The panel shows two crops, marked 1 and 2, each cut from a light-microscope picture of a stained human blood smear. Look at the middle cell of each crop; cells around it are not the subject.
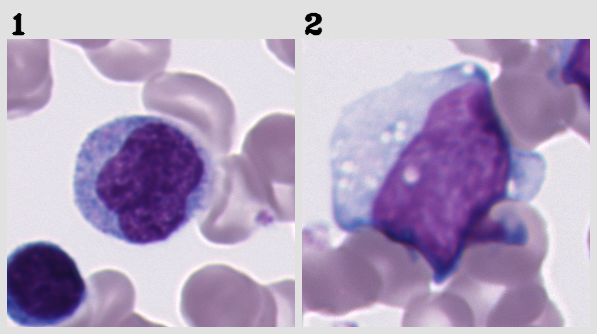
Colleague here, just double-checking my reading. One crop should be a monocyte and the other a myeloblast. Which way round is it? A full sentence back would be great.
The correct labels are a monocyte for crop 1 and a myeloblast for crop 2.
